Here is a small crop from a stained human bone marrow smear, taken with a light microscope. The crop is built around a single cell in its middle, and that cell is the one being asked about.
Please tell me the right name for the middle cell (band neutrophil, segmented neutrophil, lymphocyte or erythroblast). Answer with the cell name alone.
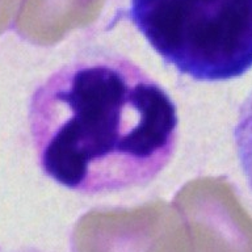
segmented neutrophil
